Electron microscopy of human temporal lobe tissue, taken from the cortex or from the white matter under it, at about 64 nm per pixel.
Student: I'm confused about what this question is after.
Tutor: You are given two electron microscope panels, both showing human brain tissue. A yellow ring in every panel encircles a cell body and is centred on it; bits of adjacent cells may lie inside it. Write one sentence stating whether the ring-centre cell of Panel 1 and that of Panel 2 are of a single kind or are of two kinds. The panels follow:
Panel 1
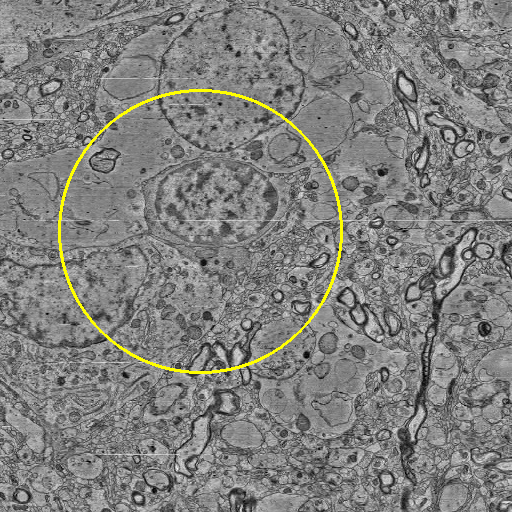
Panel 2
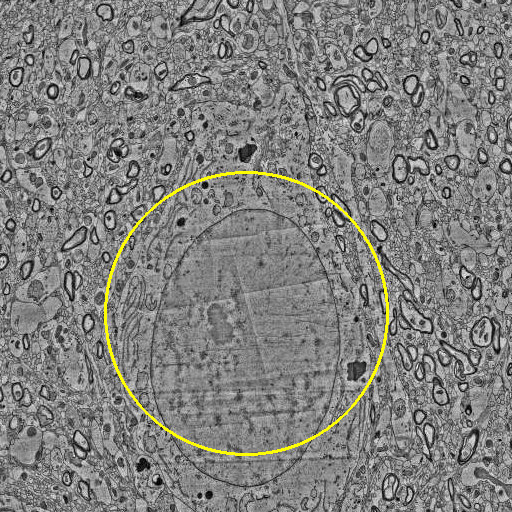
Here, the Panel 1 ring-centre cell and the Panel 2 ring-centre cell are of two kinds.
